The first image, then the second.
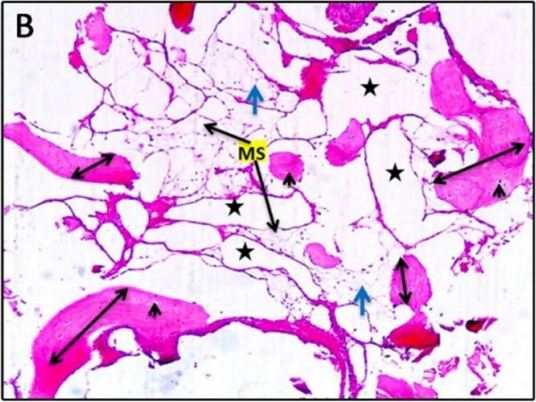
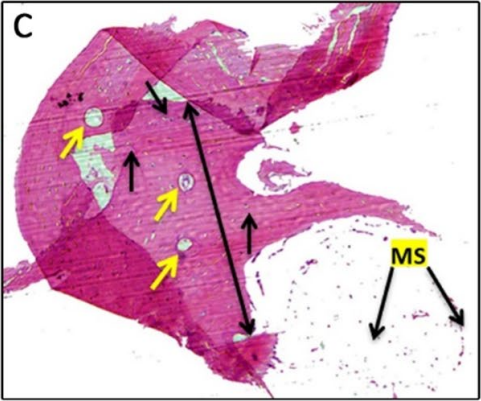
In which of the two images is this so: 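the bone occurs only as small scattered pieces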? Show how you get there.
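Second image: one large continuous piece of pink-purple bone fills much of the field. First image: only small isolated pink bone pieces lie amid pale, largely empty tissue. The answer: the first image.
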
